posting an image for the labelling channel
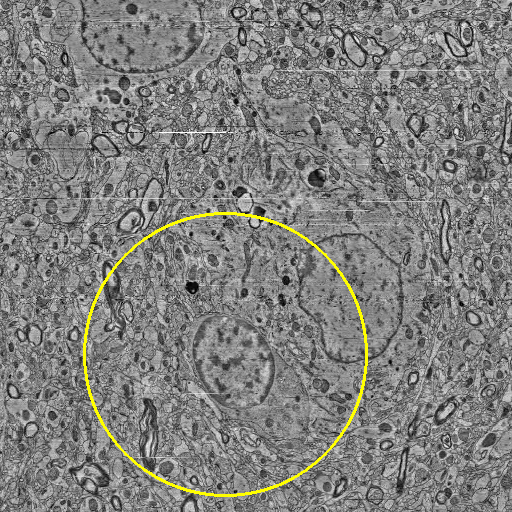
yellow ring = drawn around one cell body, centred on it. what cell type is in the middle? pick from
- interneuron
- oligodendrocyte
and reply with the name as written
oligodendrocyte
